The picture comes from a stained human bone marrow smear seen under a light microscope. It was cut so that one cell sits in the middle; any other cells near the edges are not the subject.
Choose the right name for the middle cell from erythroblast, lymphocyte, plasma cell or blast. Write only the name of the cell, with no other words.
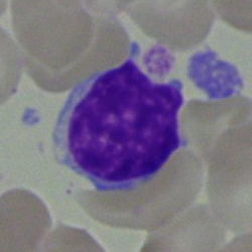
lymphocyte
